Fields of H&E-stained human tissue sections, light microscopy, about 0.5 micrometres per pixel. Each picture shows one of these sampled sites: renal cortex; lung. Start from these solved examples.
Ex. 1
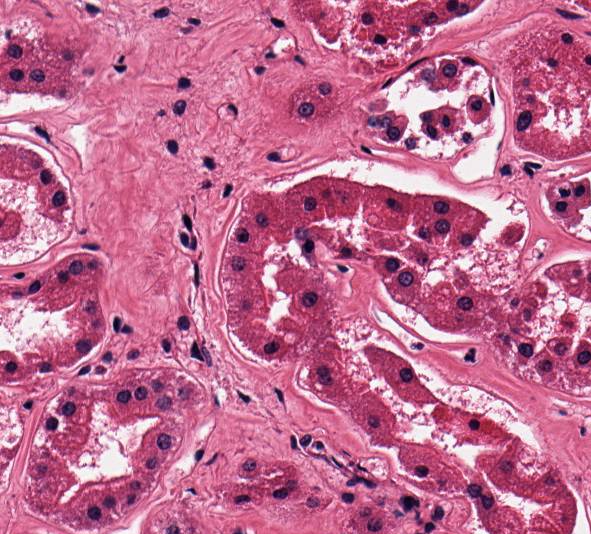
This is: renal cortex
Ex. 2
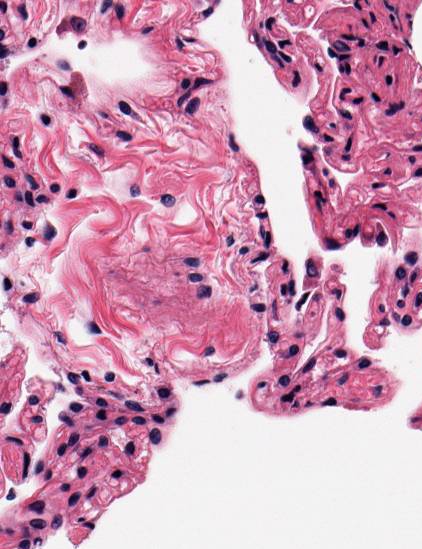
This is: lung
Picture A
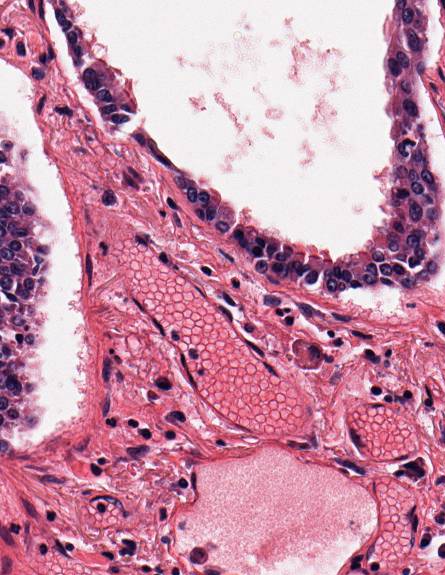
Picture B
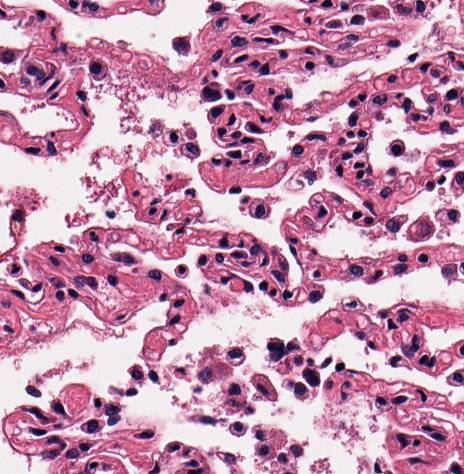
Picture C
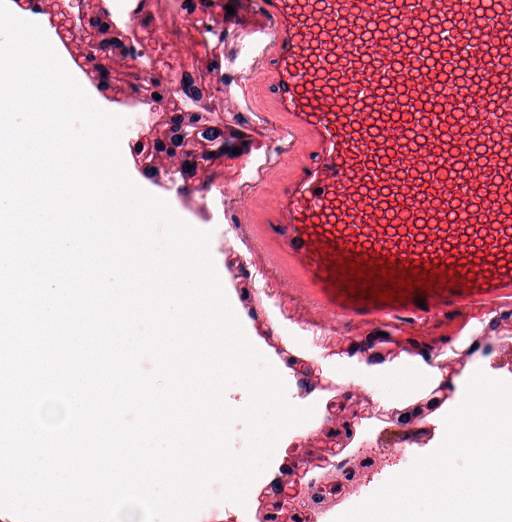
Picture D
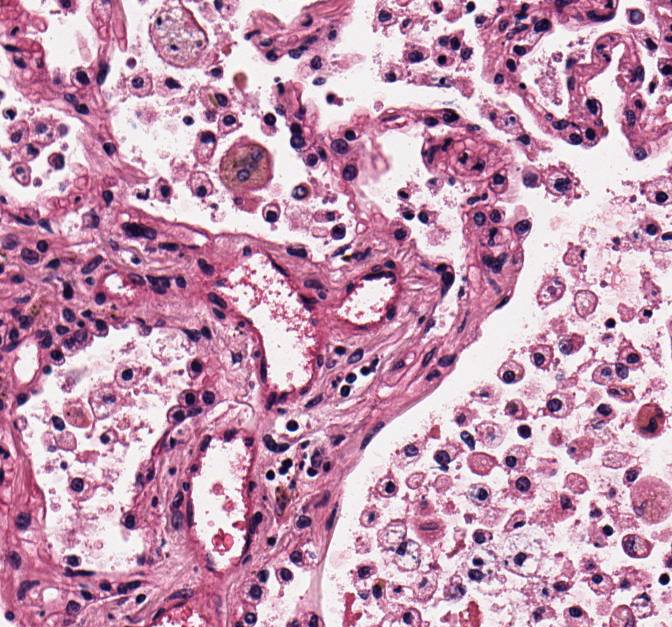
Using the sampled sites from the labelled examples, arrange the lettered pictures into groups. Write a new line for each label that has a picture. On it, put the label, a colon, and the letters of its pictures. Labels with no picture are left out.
lung: A, B, C, D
